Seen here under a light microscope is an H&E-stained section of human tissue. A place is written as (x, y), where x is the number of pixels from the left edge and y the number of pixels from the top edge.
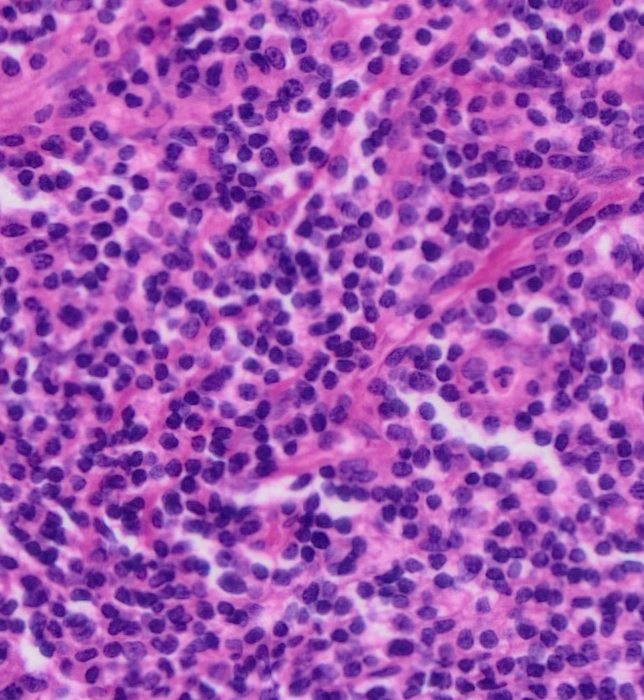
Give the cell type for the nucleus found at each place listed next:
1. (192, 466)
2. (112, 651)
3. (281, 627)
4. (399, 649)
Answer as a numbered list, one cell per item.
1. small lymphocyte
2. small lymphocyte
3. small lymphocyte
4. proliferating B cell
